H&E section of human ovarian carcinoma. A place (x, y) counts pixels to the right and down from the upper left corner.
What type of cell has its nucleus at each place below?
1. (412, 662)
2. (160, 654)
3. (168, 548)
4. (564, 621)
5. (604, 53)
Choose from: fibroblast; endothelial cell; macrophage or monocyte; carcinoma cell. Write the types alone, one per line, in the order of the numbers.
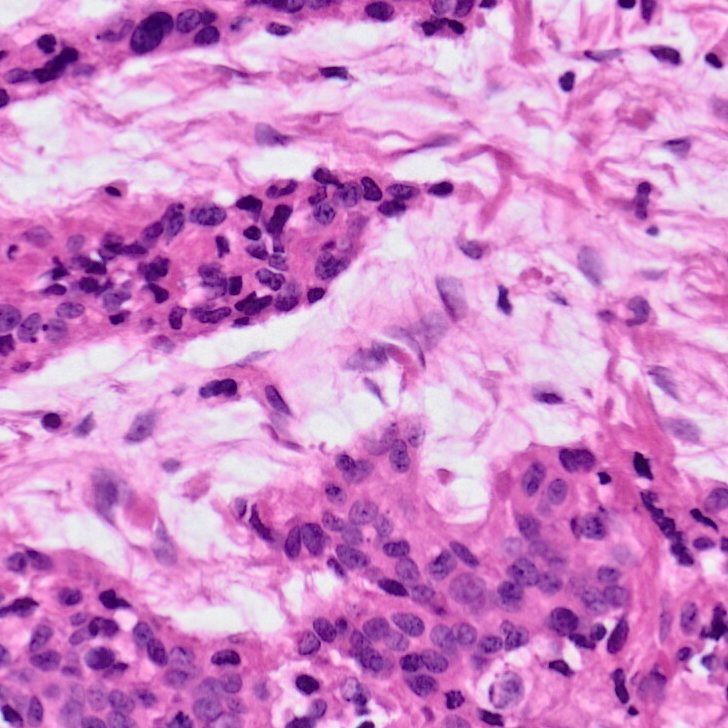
carcinoma cell
carcinoma cell
fibroblast
carcinoma cell
fibroblast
